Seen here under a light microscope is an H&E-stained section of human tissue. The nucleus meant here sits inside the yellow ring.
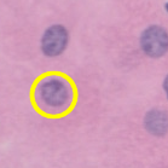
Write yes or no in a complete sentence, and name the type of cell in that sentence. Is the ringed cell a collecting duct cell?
No; the ringed cell should be labelled a proximal tubule cell rather than a collecting duct cell.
